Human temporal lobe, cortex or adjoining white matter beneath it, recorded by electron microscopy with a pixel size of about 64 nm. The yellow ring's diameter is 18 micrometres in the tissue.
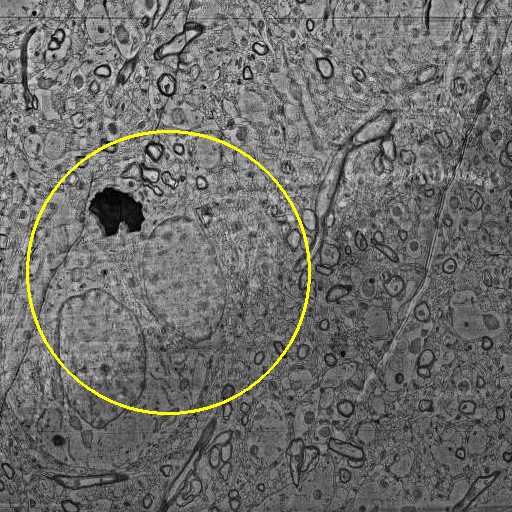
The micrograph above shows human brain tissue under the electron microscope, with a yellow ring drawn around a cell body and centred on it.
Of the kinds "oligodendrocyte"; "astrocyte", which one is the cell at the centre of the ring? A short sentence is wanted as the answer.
The one at the centre of the ring is an oligodendrocyte.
